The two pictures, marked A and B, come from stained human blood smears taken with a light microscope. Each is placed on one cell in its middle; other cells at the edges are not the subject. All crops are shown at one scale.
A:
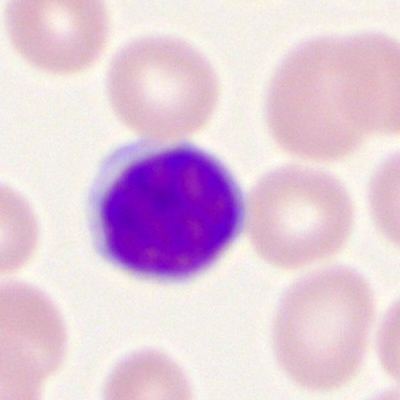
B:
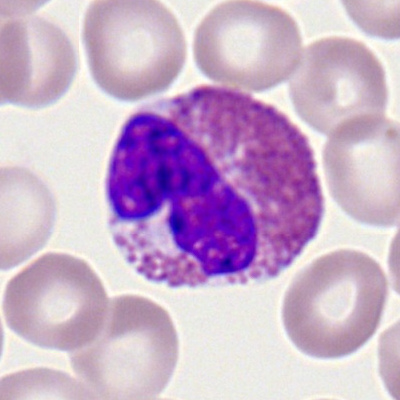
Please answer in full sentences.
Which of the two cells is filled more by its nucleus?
Of the two, the nucleus in picture A makes up the greater part of its cell.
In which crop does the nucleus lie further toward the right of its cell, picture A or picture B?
The nucleus in picture A lies further toward the right of its cell.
